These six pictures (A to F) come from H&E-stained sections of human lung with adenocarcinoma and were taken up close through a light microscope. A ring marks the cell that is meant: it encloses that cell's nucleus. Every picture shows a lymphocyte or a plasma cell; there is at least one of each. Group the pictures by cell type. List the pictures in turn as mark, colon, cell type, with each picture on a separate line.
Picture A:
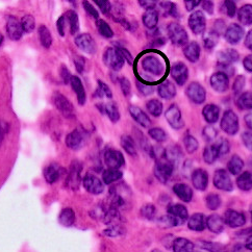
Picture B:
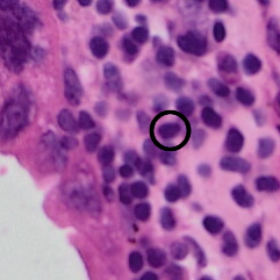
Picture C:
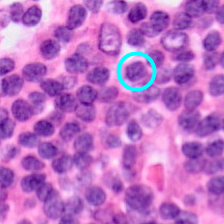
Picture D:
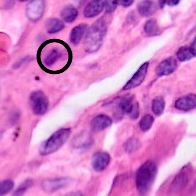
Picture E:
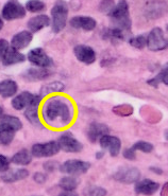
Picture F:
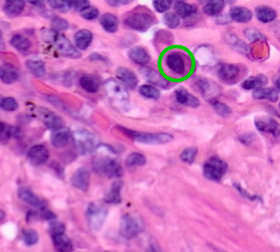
A: lymphocyte
B: lymphocyte
C: lymphocyte
D: plasma cell
E: lymphocyte
F: plasma cell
